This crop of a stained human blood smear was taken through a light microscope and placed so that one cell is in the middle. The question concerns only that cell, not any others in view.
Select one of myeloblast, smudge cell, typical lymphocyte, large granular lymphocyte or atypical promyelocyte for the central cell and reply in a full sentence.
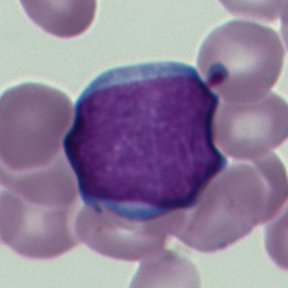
What sits at the centre of this crop is a myeloblast.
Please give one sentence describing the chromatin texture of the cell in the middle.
The chromatin is fine throughout, without coarse clumps.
